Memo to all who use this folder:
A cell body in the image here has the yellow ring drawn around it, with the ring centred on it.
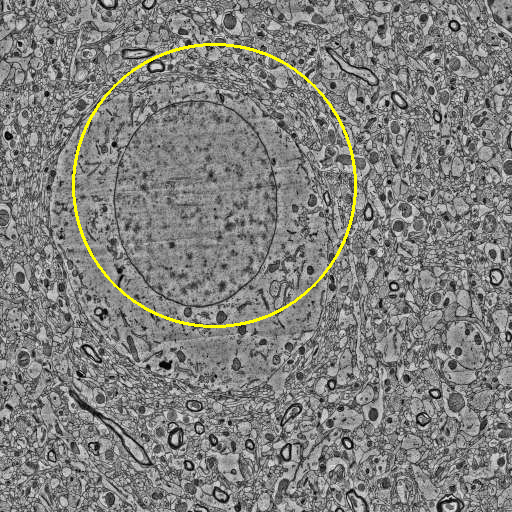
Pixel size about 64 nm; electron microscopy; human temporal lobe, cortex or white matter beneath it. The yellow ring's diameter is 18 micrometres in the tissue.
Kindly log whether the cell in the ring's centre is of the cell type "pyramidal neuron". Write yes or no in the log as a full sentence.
Yes, logged: the ring in this image is centred on a cell of that type.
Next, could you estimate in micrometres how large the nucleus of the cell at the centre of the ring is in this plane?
Approximately 13 by 11 micrometers in this plane.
